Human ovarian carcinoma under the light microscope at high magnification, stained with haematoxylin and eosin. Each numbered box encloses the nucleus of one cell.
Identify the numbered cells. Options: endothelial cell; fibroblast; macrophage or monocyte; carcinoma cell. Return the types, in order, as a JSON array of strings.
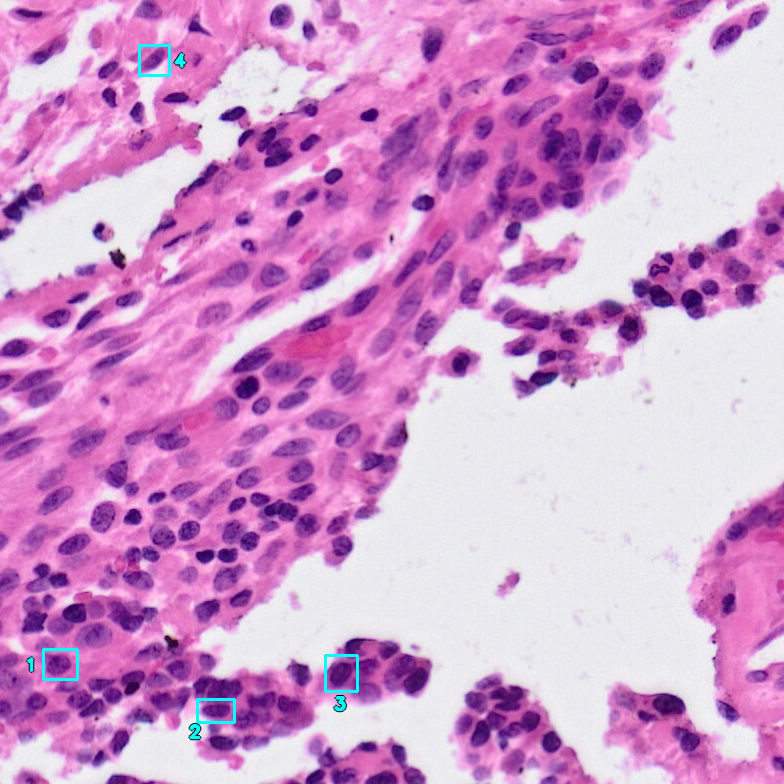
["carcinoma cell", "carcinoma cell", "carcinoma cell", "fibroblast"]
